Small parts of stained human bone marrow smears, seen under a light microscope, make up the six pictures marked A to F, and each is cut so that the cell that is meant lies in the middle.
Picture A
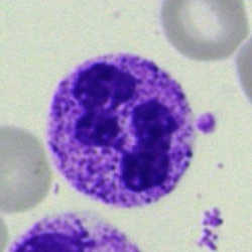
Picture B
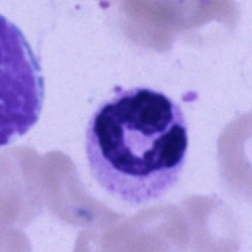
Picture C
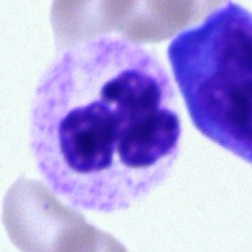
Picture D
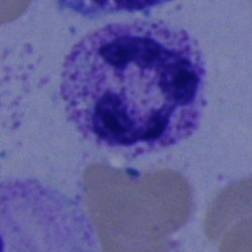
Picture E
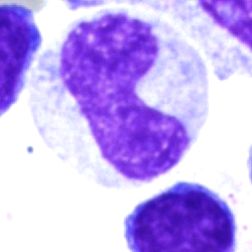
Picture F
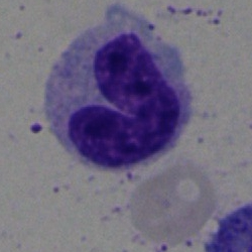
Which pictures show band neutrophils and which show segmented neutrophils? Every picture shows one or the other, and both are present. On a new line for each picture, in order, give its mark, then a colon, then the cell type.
A: segmented neutrophil
B: segmented neutrophil
C: segmented neutrophil
D: segmented neutrophil
E: band neutrophil
F: band neutrophil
